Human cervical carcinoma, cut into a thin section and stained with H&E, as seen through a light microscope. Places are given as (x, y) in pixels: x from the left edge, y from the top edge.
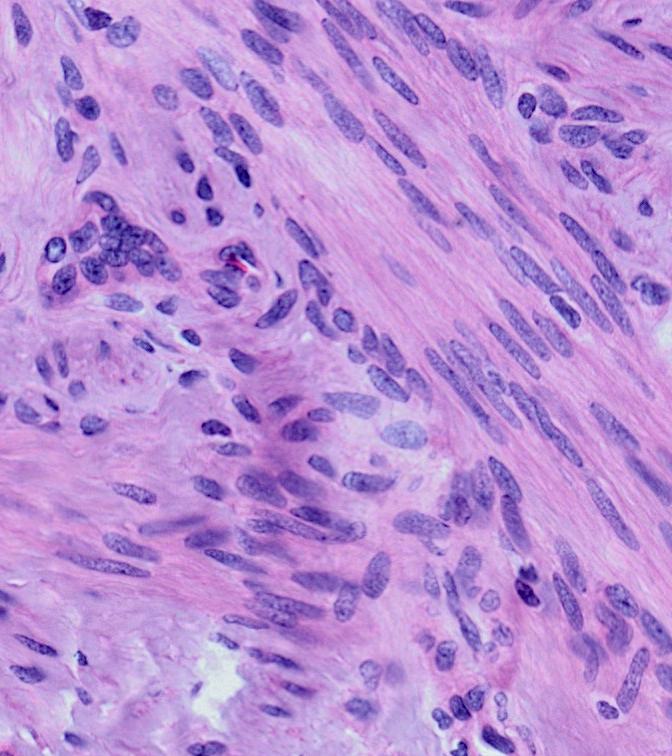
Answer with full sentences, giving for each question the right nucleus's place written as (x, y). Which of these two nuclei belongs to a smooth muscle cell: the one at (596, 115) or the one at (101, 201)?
Belonging to a smooth muscle cell is the nucleus at (596, 115).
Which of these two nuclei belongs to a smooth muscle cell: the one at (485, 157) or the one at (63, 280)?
Identify the nucleus at (485, 157) as the one belonging to a smooth muscle cell.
